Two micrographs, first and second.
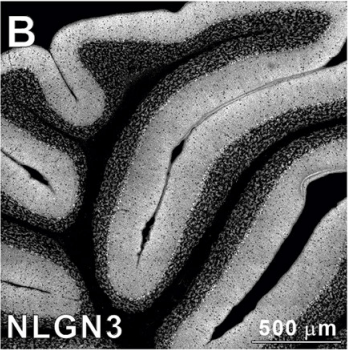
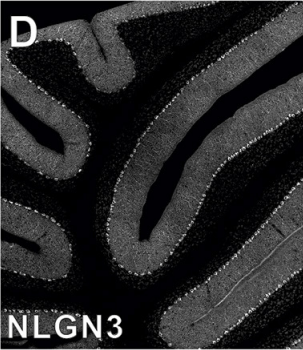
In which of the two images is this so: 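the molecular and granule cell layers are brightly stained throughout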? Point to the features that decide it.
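The first image. Second image: the layers of each folium are dim, with only a thin beaded bright line standing out.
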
